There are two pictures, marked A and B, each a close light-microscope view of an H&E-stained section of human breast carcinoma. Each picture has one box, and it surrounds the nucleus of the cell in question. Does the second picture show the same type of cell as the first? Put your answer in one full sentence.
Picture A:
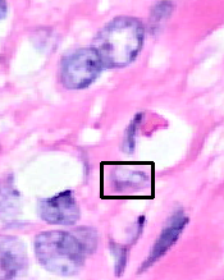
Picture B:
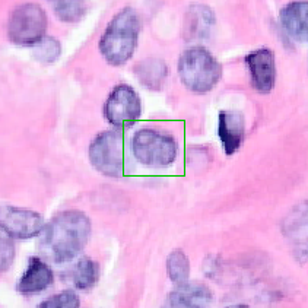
No, they differ: the cell is an endothelial cell in picture A and a carcinoma cell in picture B.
